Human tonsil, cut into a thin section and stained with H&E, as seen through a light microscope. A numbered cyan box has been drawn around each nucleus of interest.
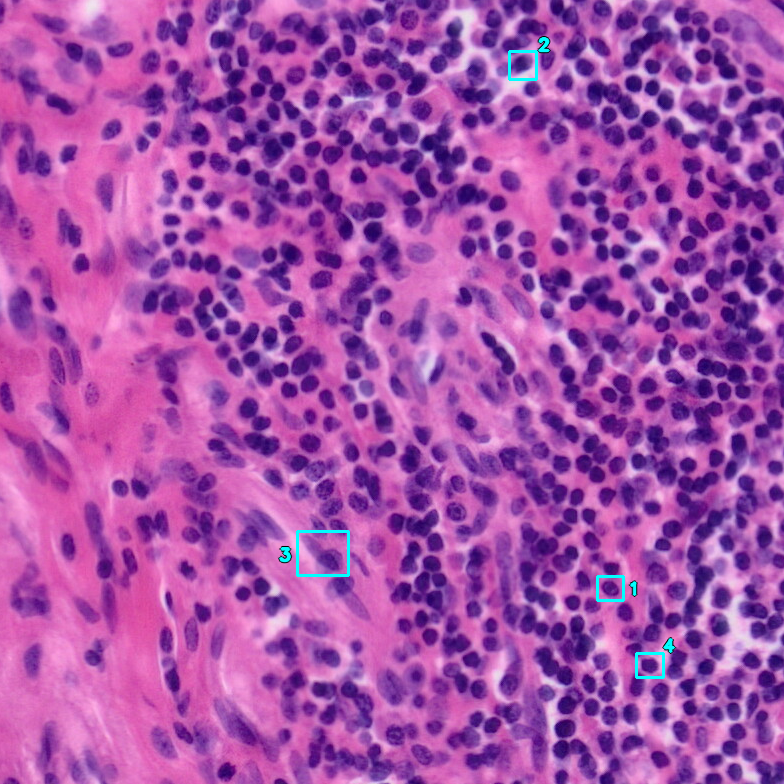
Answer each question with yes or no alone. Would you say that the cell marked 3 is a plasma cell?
no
